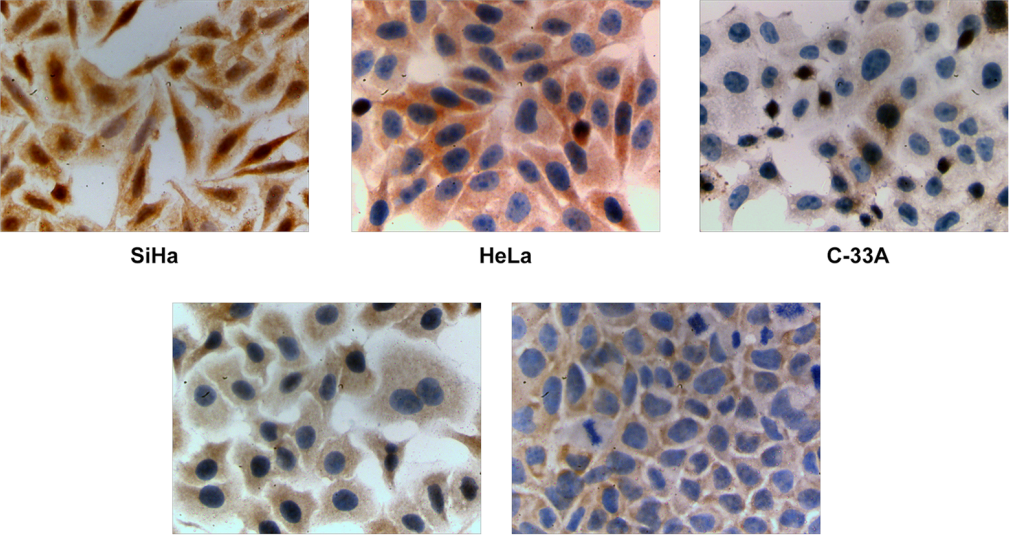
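These are cultured cells grown flat on a slide, each image showing one cell line. In some images the brown colour is strong and fills elongated or polygonal cells, while in others the cytoplasm is only faintly tan. A few small, rounded cells stain very dark throughout. The tightly packed cells in one image form a cobblestone-like sheet, whereas elsewhere the cells are scattered with spaces between them.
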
